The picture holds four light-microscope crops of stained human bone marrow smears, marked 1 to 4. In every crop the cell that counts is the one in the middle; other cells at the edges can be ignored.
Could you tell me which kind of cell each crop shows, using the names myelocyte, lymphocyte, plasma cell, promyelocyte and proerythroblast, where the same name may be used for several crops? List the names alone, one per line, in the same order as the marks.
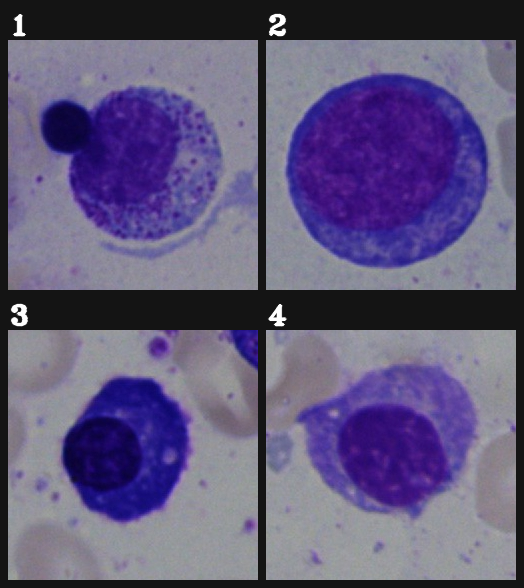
promyelocyte
proerythroblast
plasma cell
plasma cell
